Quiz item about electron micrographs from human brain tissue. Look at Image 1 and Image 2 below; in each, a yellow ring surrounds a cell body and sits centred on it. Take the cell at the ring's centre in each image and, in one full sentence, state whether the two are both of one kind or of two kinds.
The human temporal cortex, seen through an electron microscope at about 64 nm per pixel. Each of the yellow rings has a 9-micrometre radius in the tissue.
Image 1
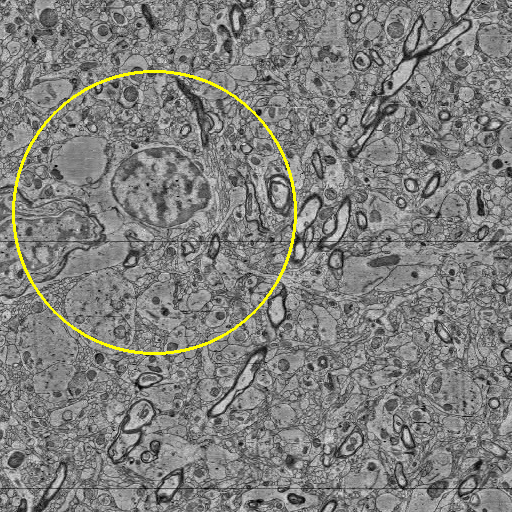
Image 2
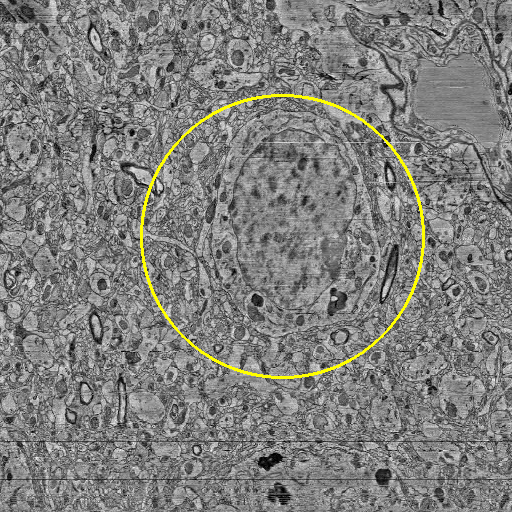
In Image 1 and Image 2, the cells at the ring centres are of two kinds.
